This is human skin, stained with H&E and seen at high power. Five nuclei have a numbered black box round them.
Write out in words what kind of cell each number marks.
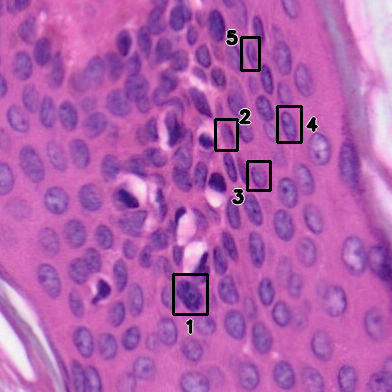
Cell 1 is a basal keratinocyte, cell 2 is a basal keratinocyte, cell 3 is a suprabasal keratinocyte, cell 4 is a suprabasal keratinocyte and cell 5 is a suprabasal keratinocyte.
